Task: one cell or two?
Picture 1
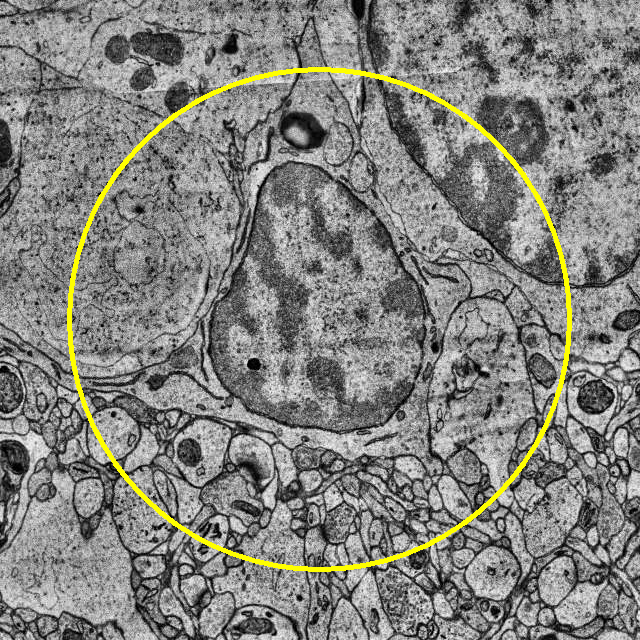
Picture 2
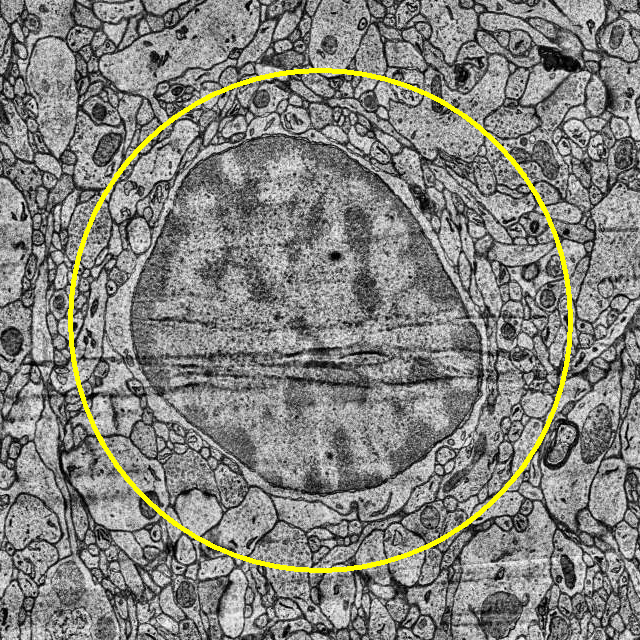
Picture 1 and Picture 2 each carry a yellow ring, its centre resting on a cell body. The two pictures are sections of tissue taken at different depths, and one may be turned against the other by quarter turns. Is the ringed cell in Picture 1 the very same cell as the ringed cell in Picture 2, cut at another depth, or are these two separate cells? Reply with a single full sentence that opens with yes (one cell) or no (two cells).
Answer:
No, within the two rings lie two different cells.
